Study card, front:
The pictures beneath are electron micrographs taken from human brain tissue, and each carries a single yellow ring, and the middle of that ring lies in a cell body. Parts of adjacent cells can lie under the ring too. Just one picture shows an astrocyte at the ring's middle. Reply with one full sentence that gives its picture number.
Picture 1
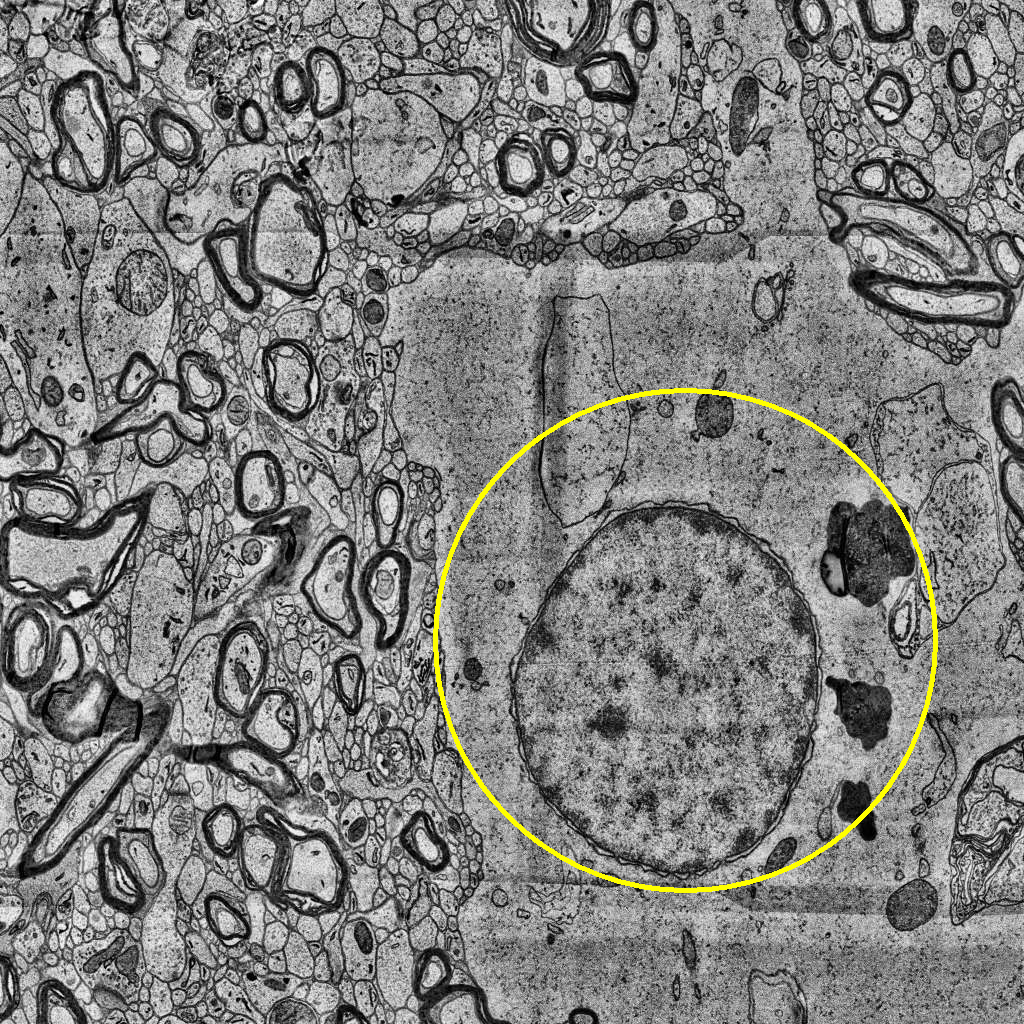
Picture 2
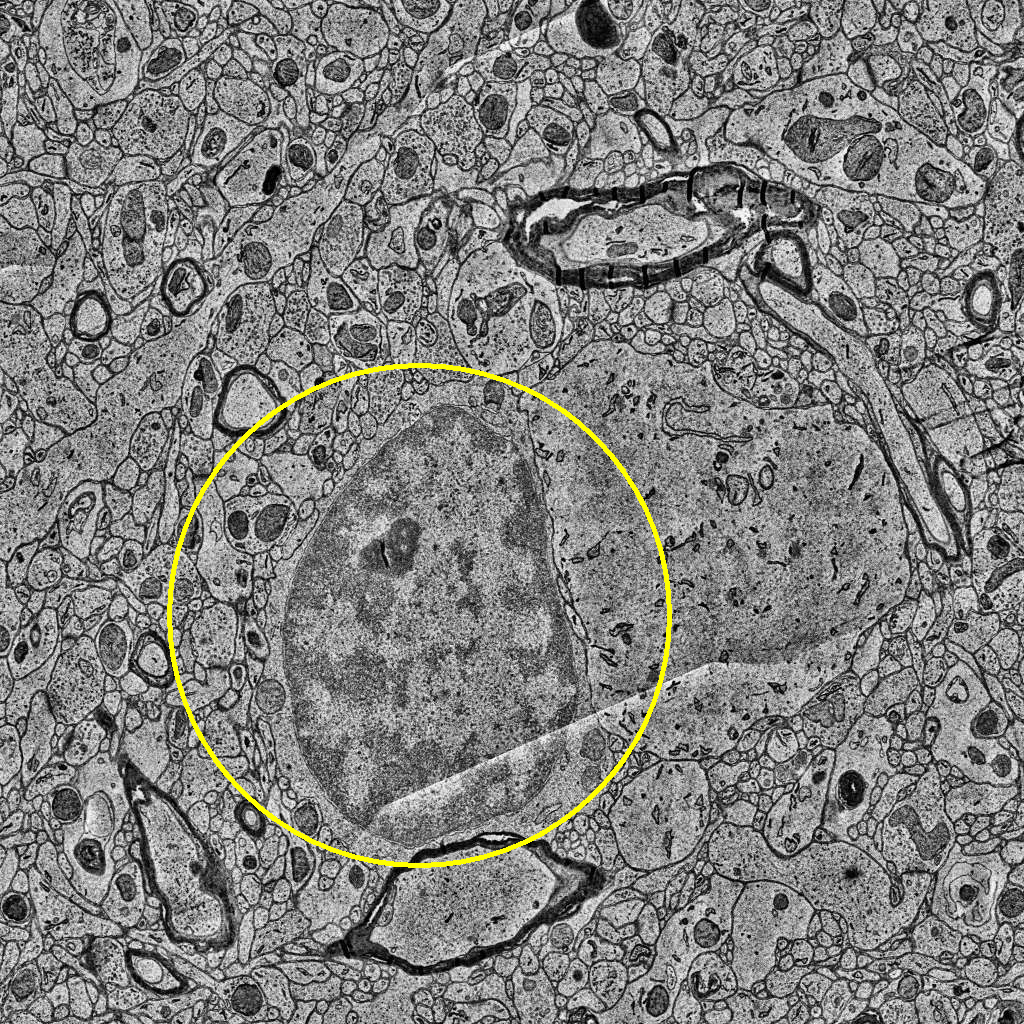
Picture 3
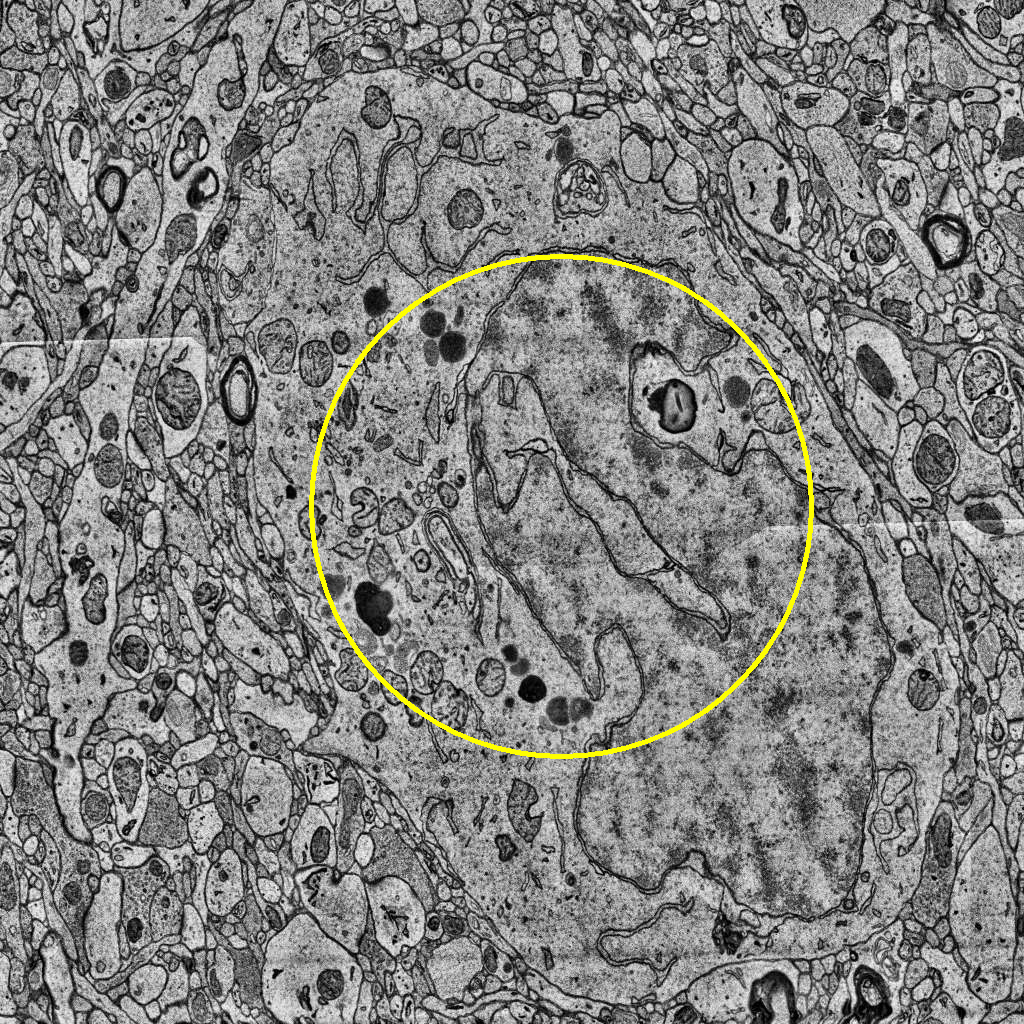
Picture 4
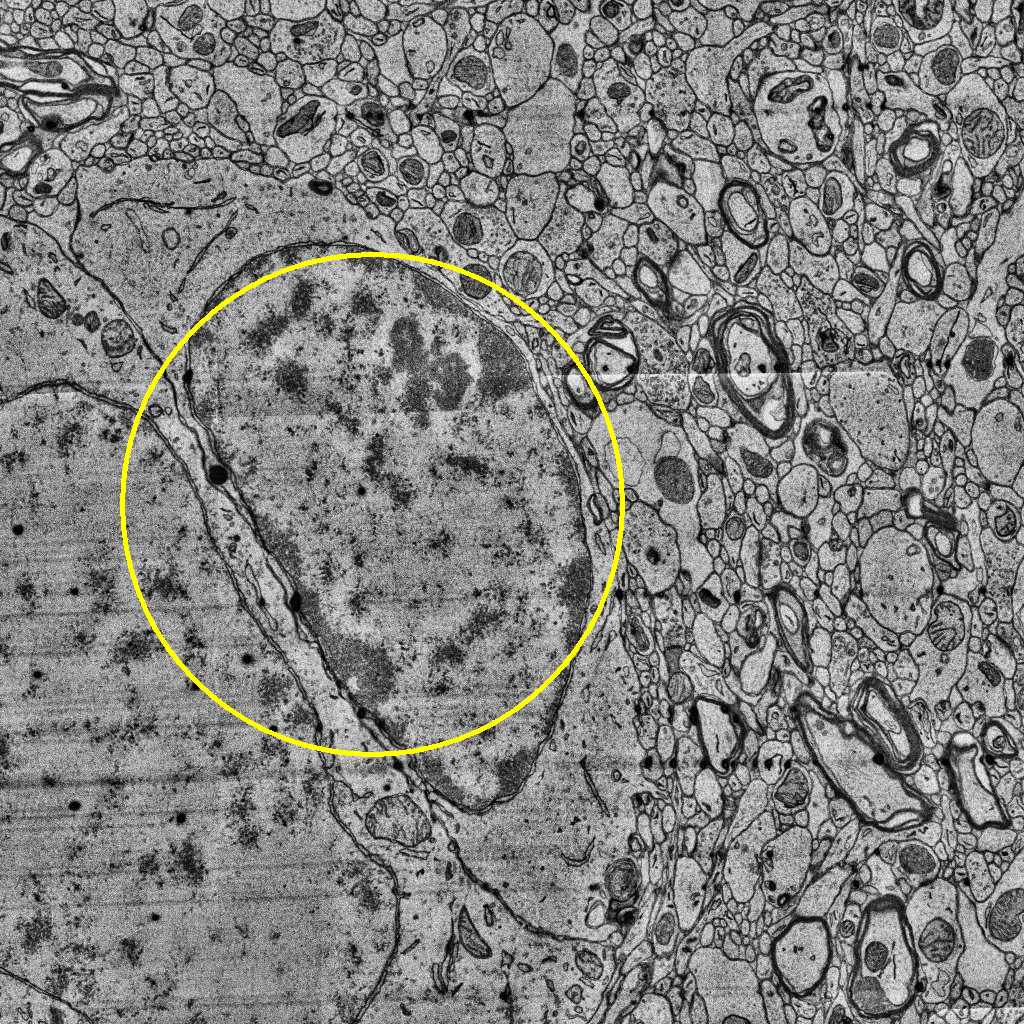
Picture 1 is the one whose ring has its centre within the requested cell.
